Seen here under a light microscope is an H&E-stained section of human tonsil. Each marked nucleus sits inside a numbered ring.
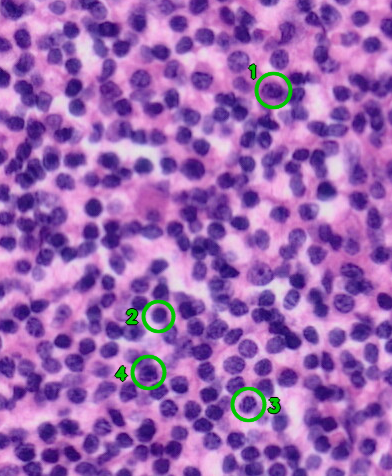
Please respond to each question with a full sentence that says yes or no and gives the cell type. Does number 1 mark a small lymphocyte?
No, cell 1 is not a small lymphocyte, but is instead a plasma cell.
